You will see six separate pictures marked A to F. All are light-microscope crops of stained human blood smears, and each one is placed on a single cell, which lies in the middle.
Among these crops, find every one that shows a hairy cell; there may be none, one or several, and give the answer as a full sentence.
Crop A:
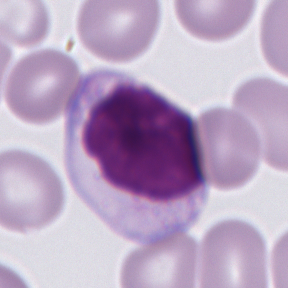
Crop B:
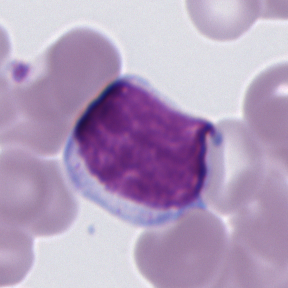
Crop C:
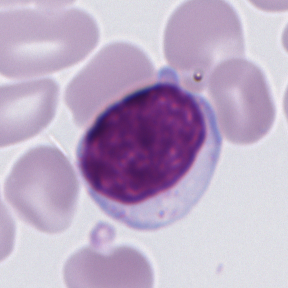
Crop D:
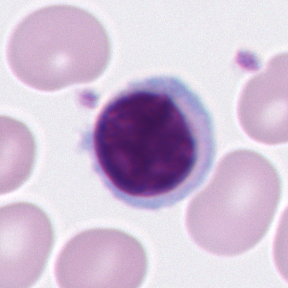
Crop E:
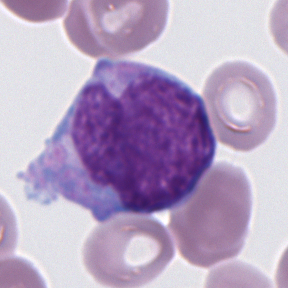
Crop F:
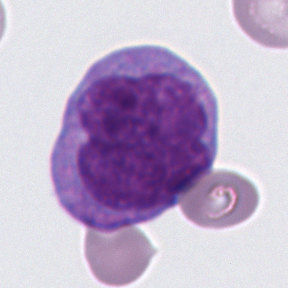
There is no crop here whose central cell is a hairy cell.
